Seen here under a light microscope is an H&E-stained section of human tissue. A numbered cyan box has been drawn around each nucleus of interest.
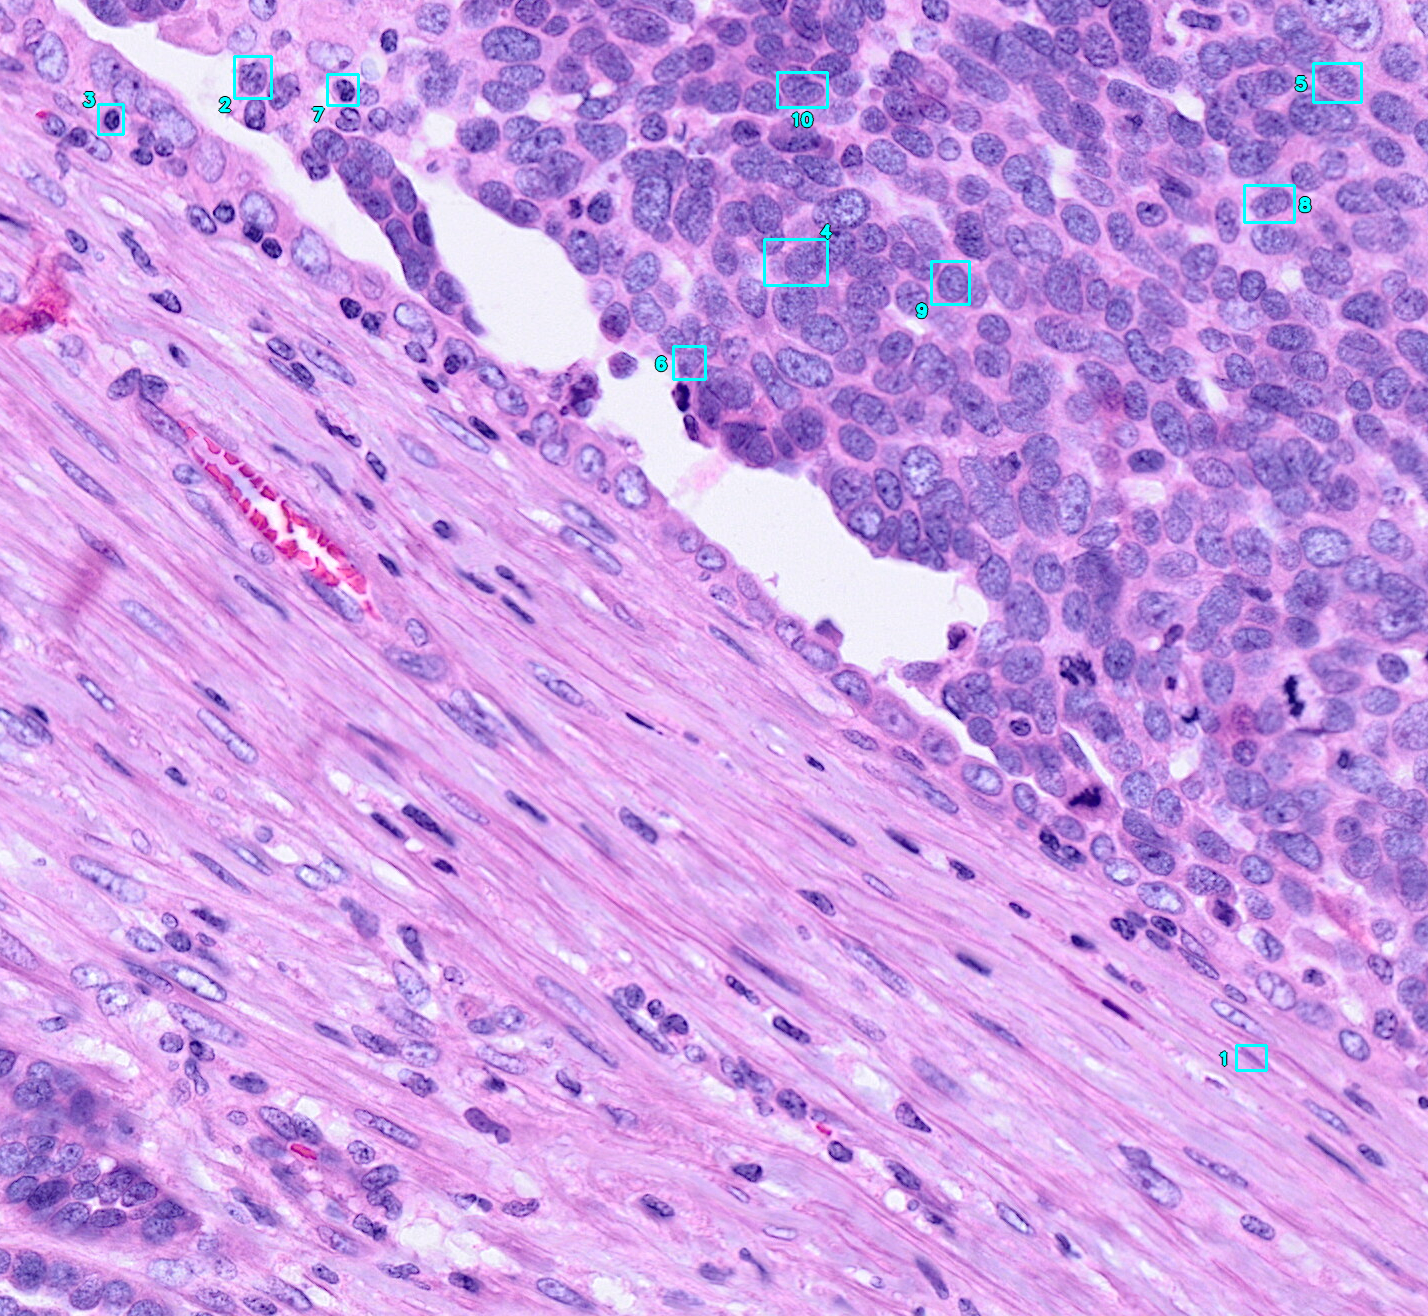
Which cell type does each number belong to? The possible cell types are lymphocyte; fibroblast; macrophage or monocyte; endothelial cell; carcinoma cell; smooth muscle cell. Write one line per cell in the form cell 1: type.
cell 1: fibroblast
cell 2: macrophage or monocyte
cell 3: lymphocyte
cell 4: carcinoma cell
cell 5: carcinoma cell
cell 6: carcinoma cell
cell 7: lymphocyte
cell 8: carcinoma cell
cell 9: carcinoma cell
cell 10: carcinoma cell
